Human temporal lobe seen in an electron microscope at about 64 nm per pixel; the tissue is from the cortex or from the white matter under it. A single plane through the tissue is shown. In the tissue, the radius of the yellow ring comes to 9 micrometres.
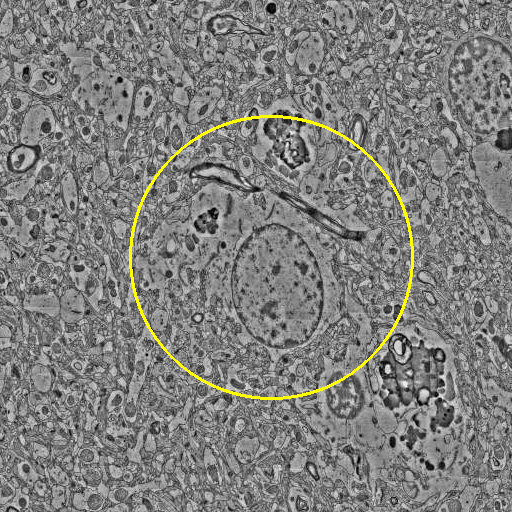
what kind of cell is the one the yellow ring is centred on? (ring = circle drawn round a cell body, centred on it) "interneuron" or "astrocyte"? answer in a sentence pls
The ring is drawn around an astrocyte.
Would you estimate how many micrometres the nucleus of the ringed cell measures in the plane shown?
About 8 by 6 micrometers for the nucleus, in this plane.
